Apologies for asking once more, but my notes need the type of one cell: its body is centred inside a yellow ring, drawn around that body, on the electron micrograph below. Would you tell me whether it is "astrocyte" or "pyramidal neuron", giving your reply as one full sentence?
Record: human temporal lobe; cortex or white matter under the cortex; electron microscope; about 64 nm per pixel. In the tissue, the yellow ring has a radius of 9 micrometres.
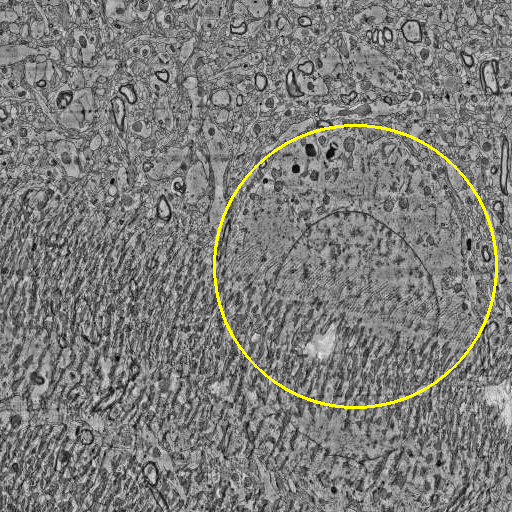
The cell that the yellow ring is centred on is a pyramidal neuron in this micrograph.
